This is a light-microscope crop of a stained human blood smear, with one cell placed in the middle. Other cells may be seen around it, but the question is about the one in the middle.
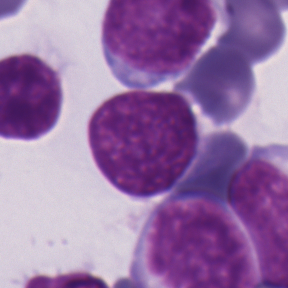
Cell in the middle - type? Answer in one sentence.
The centrally located cell in the crop is a myeloblast.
